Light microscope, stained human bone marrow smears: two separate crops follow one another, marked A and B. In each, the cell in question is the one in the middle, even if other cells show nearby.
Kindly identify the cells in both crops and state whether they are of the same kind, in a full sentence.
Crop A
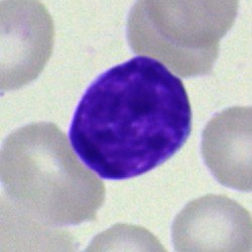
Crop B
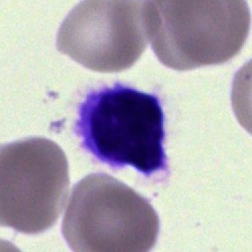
No, a lymphocyte is the cell of crop B, while a blast is the cell of crop A.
